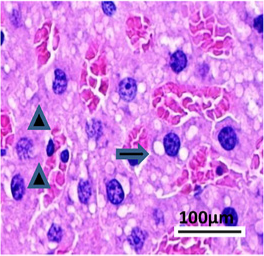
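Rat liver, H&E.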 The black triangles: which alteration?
Necrosis area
